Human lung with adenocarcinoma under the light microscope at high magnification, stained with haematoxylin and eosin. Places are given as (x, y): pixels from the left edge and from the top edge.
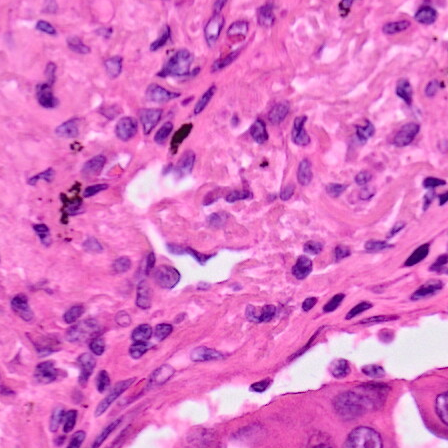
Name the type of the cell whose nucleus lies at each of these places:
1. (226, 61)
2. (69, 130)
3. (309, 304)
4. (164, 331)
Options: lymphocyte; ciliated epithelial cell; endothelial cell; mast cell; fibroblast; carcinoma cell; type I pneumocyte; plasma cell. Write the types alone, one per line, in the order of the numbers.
endothelial cell
fibroblast
lymphocyte
lymphocyte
